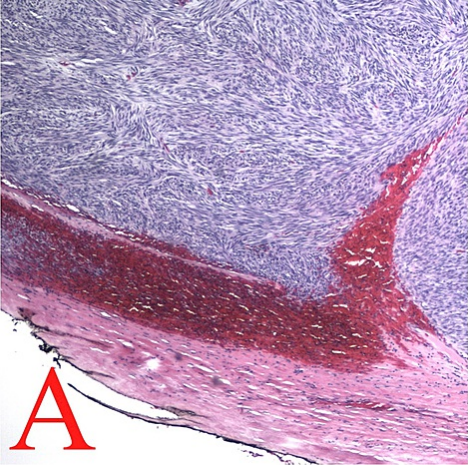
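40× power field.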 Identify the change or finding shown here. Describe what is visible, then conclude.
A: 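A dense, cellular, blue-purple mass of elongated cells arranged in interlacing fascicles fills the upper part.
Conclusion: spindle cell tumor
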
